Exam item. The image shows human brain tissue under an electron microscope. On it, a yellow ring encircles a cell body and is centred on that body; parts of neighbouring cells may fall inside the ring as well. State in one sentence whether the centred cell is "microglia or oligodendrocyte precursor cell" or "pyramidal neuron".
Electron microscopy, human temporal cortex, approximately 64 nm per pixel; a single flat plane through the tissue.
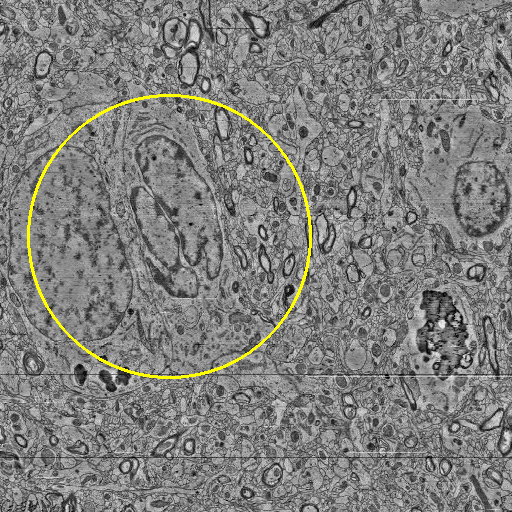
The cell body centred in the ring is a microglial cell or oligodendrocyte precursor cell.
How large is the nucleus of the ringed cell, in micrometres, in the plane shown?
The nucleus has a long axis of about 10 micrometres and a short axis of about 6 micrometres in this plane.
